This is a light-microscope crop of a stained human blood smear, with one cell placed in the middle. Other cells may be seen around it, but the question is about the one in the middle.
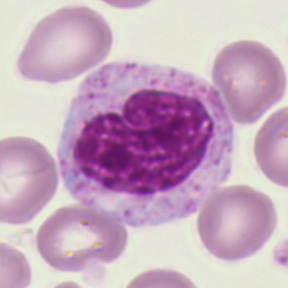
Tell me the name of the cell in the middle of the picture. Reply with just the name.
band neutrophil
